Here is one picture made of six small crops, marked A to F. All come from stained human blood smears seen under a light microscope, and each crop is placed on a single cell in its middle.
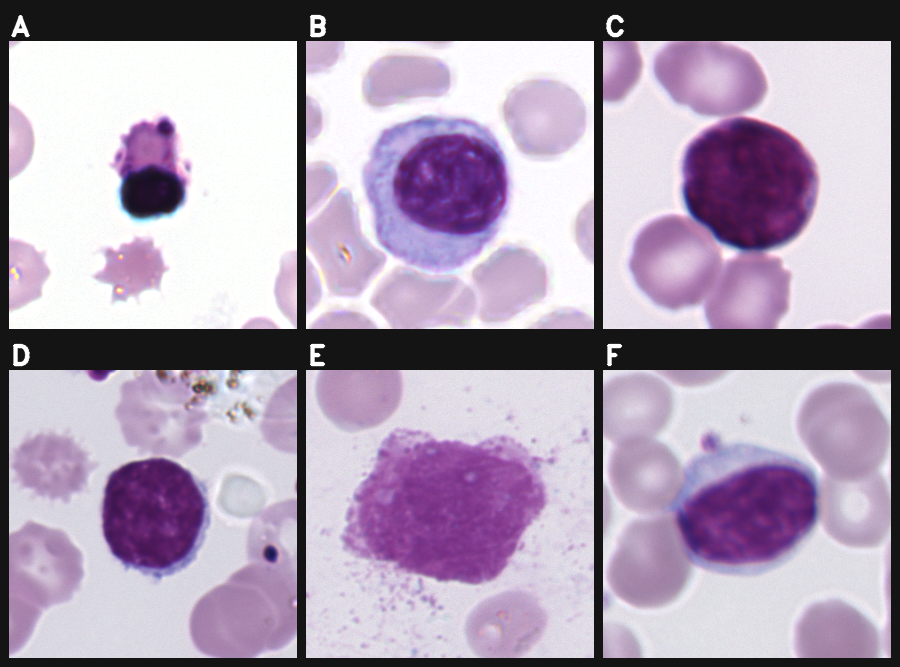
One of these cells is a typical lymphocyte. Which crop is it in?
D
